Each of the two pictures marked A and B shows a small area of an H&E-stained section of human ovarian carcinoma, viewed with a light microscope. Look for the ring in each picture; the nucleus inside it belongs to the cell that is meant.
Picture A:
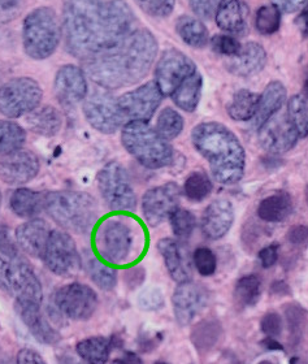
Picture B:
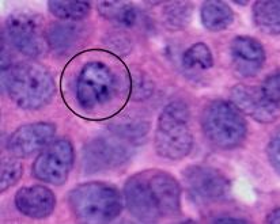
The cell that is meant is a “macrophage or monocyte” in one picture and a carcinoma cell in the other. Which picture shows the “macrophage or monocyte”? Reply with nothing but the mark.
B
